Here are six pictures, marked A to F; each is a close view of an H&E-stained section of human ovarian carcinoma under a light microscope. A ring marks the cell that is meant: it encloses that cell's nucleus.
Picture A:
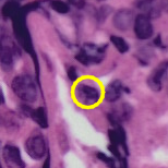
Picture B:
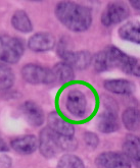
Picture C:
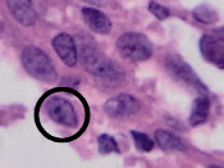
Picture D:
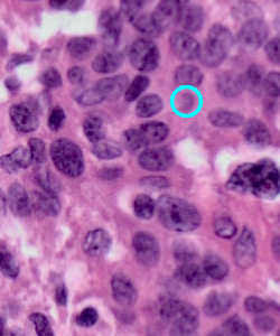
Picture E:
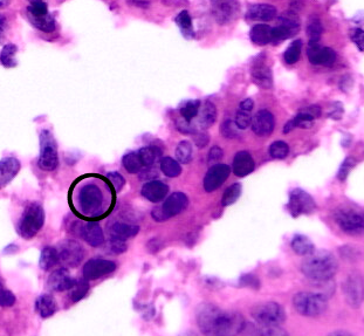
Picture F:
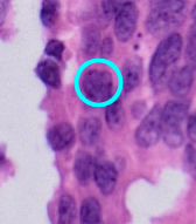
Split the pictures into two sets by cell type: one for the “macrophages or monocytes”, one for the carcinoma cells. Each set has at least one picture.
A: macrophage or monocyte
B: macrophage or monocyte
C: macrophage or monocyte
D: carcinoma cell
E: carcinoma cell
F: carcinoma cell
